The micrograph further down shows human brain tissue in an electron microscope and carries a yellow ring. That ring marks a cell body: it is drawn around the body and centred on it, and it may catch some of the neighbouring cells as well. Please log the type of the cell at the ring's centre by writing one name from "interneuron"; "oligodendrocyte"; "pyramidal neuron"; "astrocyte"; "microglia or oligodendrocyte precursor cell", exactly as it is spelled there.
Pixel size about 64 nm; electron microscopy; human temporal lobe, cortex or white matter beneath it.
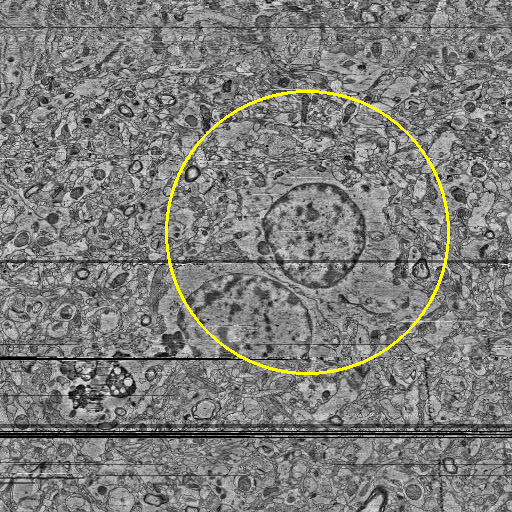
astrocyte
